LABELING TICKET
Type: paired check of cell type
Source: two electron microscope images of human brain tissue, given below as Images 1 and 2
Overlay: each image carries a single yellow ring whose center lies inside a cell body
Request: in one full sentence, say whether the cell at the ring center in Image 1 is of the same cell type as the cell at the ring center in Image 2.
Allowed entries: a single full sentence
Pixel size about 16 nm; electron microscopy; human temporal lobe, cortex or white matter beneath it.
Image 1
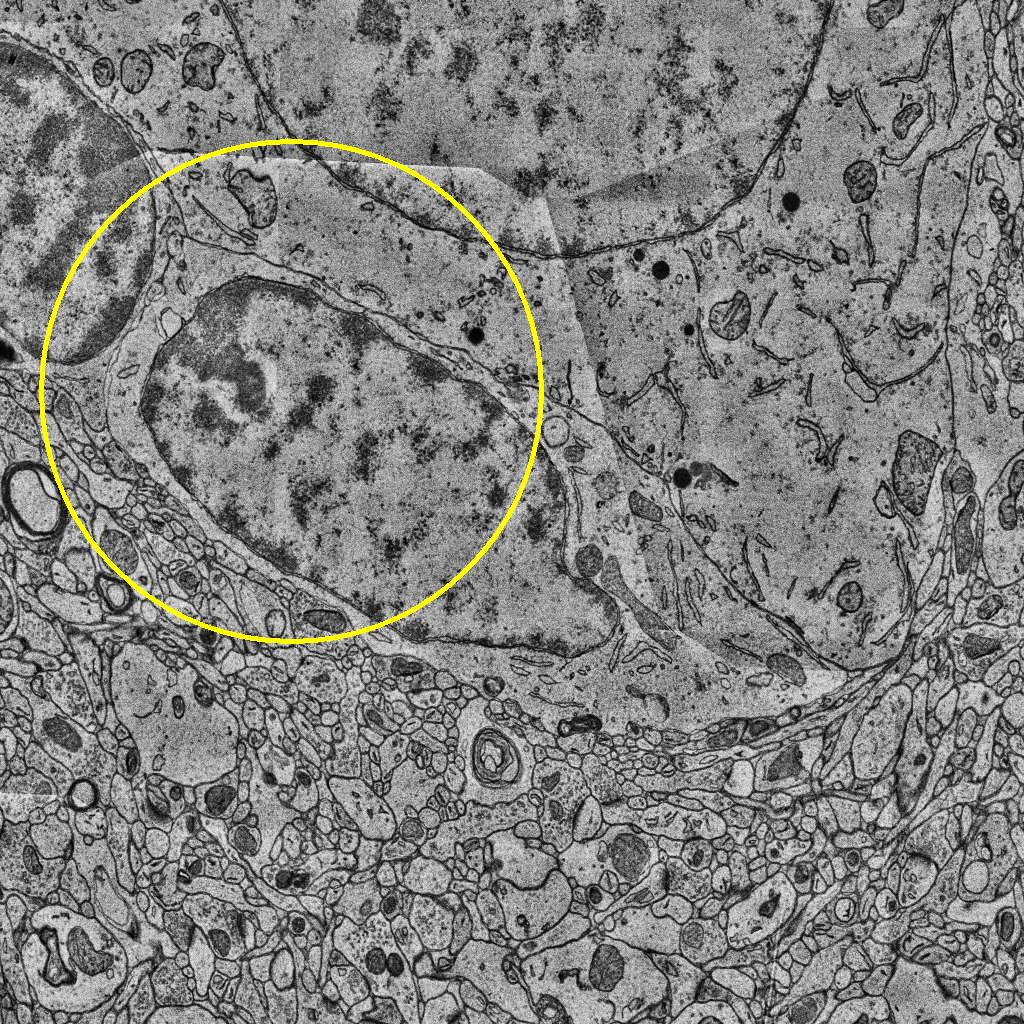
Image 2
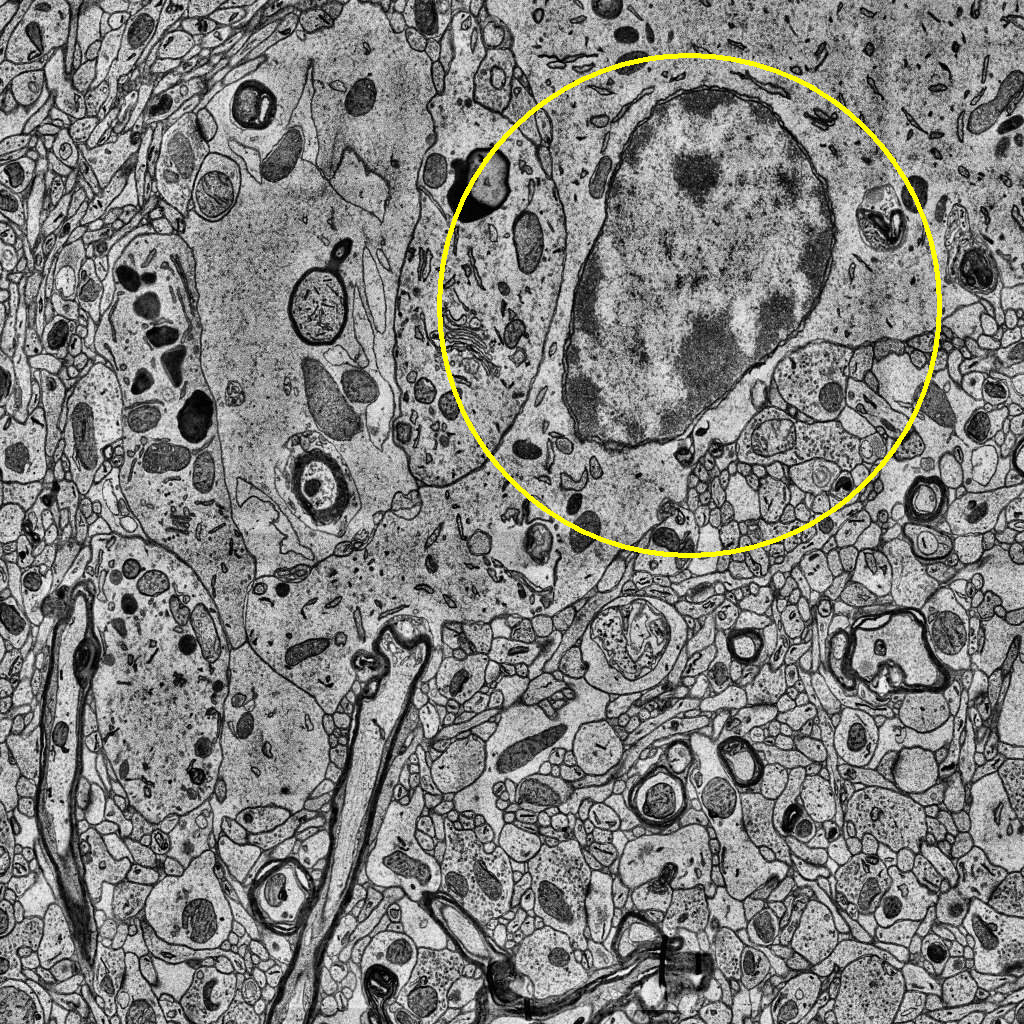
Yes, the cells at the ring centers of Image 1 and Image 2 share one type.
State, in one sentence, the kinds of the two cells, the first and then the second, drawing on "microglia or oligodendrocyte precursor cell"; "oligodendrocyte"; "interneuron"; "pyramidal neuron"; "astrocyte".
Each cell at the centre of a ring is a microglial cell or oligodendrocyte precursor cell.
